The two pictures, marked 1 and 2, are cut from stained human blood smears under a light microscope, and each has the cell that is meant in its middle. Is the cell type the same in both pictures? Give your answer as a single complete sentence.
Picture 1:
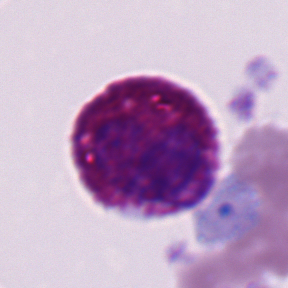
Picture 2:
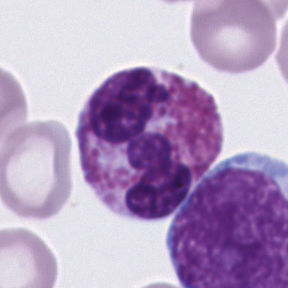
Yes, both are eosinophils.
